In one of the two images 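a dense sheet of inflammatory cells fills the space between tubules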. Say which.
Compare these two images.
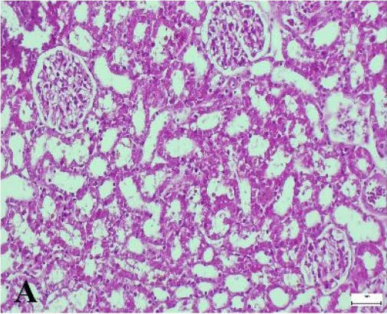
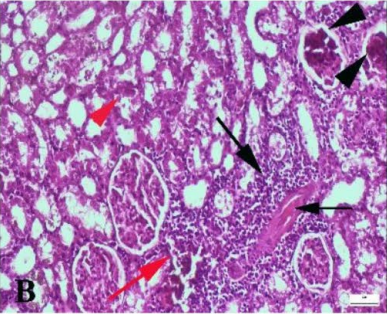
The second image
